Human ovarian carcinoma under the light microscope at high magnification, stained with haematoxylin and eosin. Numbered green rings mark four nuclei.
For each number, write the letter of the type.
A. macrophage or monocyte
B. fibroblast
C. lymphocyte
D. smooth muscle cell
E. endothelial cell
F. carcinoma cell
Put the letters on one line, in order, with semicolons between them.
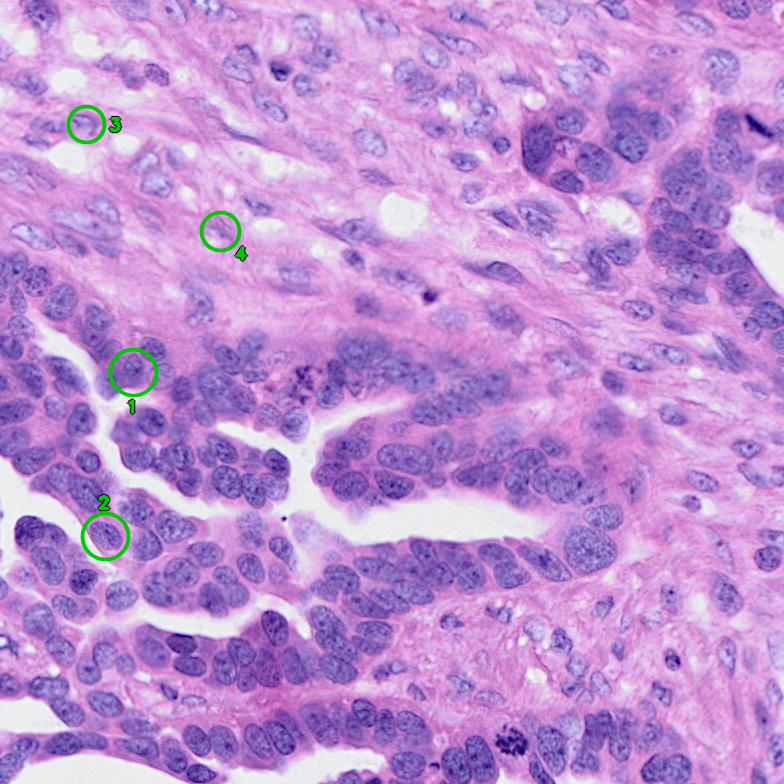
F; F; B; B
